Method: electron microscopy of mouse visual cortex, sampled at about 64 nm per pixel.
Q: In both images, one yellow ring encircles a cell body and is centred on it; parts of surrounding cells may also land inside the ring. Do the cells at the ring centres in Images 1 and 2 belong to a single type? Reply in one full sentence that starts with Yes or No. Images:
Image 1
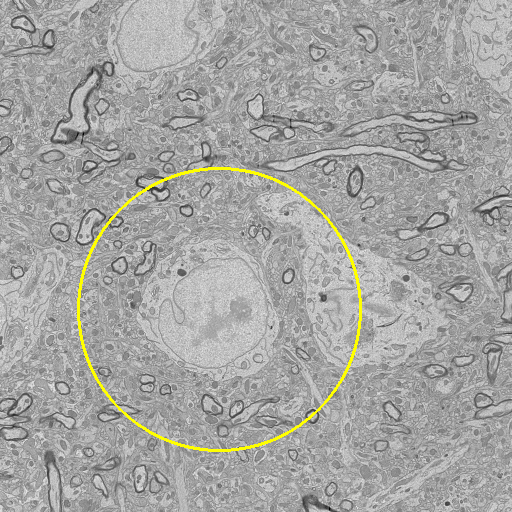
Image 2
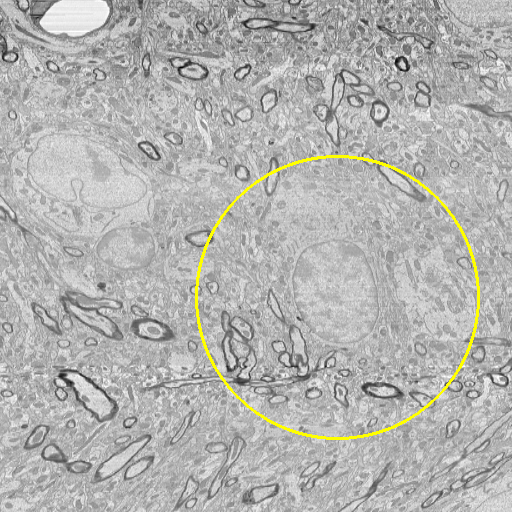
No, the cells at the ring centres in Images 1 and 2 are of two types.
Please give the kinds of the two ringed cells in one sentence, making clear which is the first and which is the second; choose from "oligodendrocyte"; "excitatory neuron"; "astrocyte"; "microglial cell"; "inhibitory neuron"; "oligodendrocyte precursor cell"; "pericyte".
In the second picture the ringed cell is an oligodendrocyte; in the first it is an excitatory neuron.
